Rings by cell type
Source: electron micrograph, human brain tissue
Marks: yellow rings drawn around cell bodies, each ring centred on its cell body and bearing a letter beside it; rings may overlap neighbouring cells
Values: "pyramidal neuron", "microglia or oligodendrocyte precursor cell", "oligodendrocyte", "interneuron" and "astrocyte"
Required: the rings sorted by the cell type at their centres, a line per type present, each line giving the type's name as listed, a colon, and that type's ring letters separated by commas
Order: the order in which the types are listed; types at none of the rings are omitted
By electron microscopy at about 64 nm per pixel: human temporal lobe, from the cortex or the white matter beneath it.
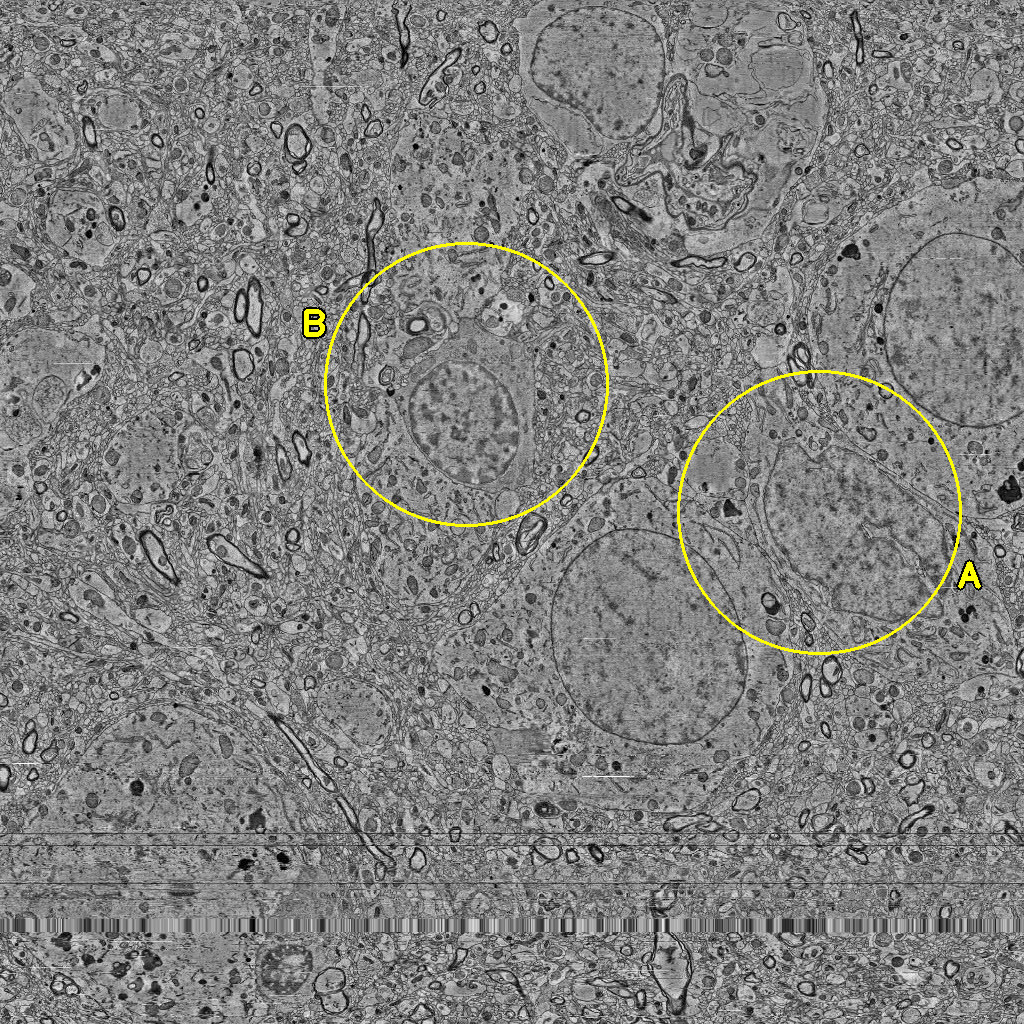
oligodendrocyte: B
interneuron: A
